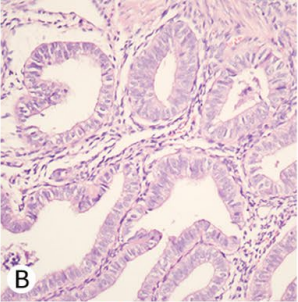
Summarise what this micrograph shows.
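This is endometrium with several endometrial glands cut in different planes, set in a cellular stroma. The glands are lined by tall columnar epithelial cells with elongated, crowded nuclei that stand in a pseudostratified row, staining purple. The glands have open, pale lumens and some are irregular and folded in outline. Between the glands runs a pink stroma containing scattered spindle-shaped nuclei. The epithelium appears as a continuous single lining around each lumen.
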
